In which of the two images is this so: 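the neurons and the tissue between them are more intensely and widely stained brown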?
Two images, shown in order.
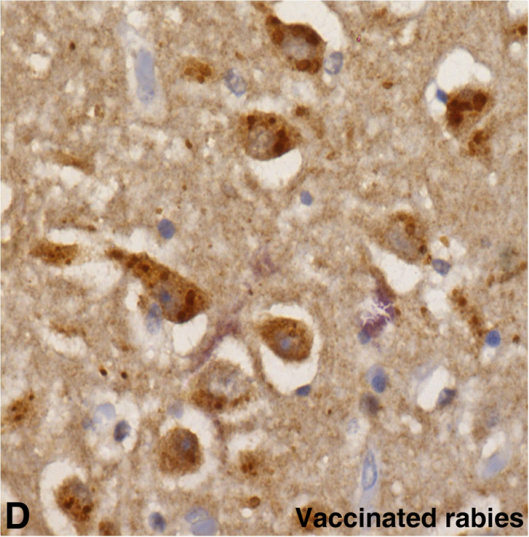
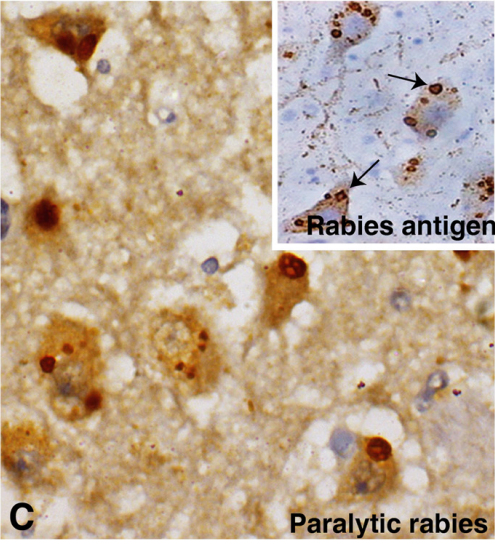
The first image.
